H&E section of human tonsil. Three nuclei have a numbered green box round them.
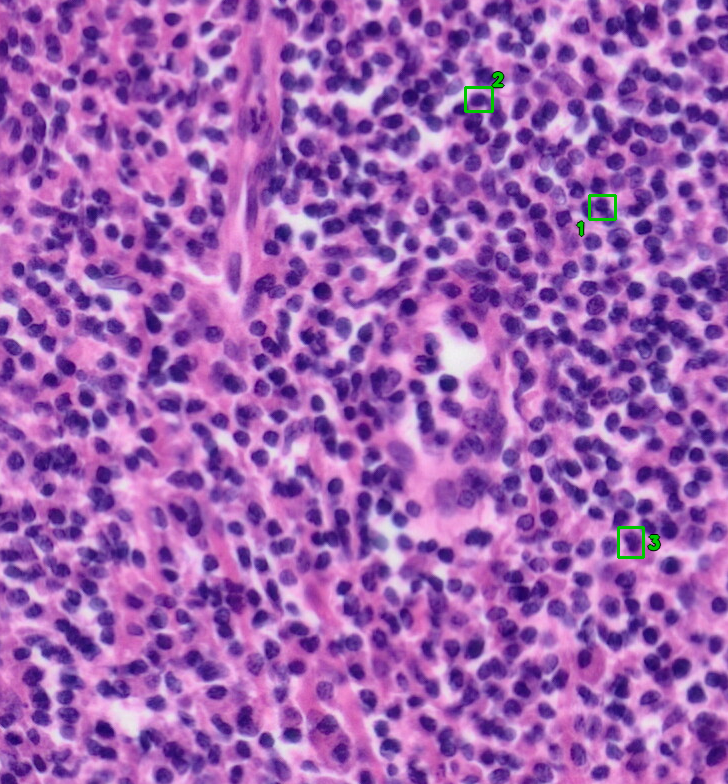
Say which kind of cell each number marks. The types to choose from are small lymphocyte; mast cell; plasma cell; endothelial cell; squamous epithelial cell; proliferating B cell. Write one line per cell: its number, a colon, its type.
1: small lymphocyte
2: small lymphocyte
3: plasma cell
